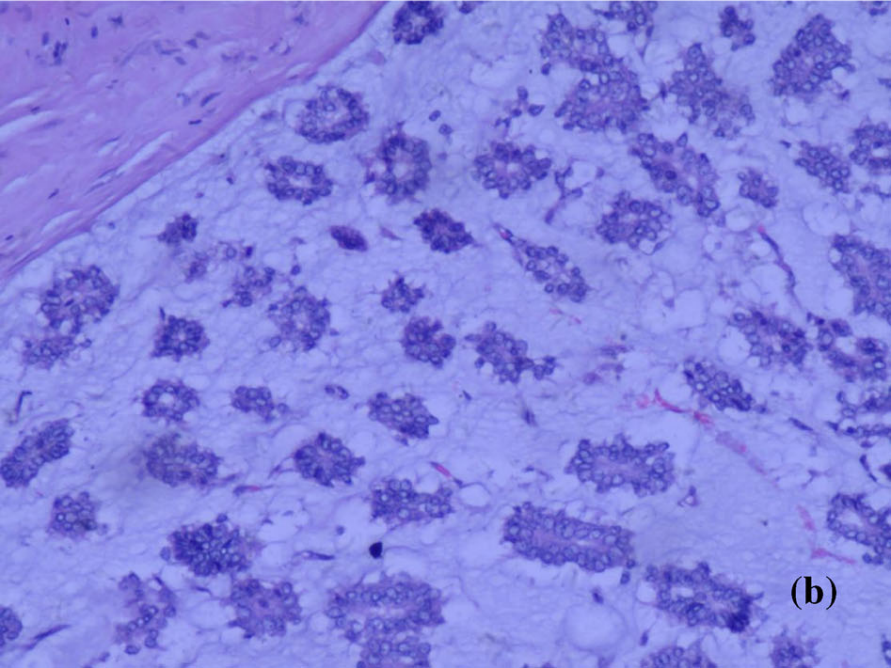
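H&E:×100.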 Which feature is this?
Micropapillary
